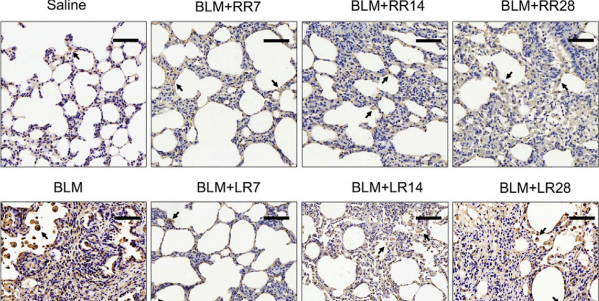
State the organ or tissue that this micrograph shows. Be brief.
Lung.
